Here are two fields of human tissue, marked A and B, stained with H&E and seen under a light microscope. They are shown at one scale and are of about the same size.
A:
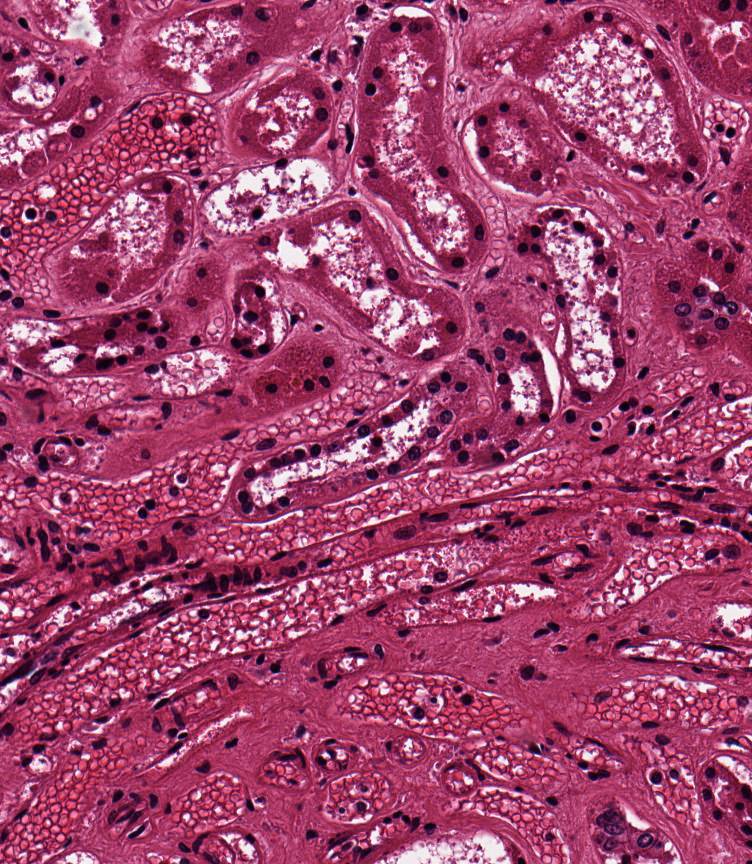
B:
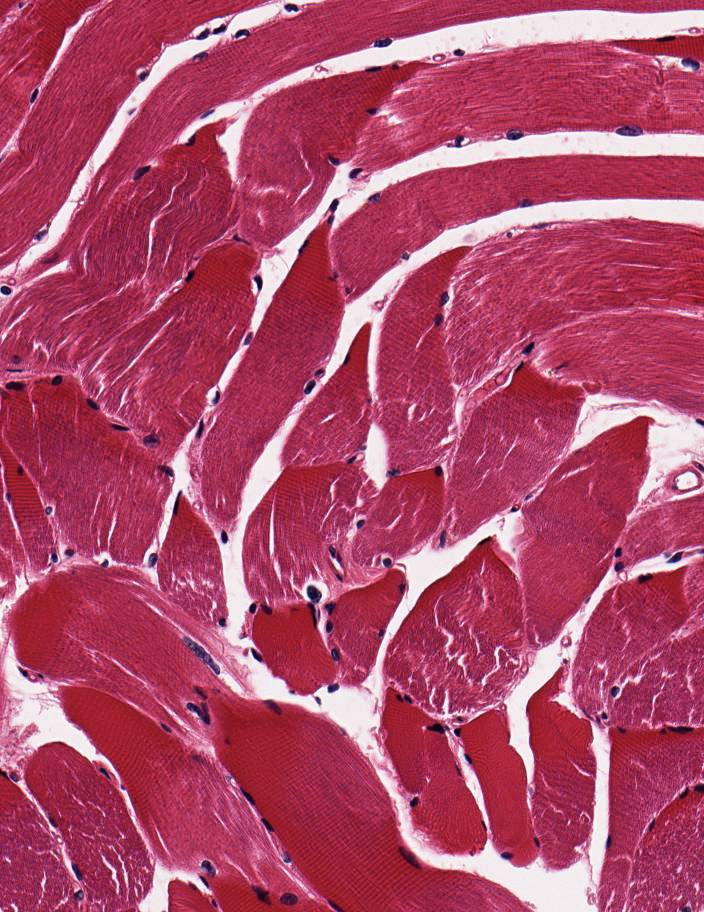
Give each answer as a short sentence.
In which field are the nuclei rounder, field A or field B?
On the whole the nuclei of field A are rounder than those of field B.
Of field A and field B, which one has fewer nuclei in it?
There are fewer nuclei in field B.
